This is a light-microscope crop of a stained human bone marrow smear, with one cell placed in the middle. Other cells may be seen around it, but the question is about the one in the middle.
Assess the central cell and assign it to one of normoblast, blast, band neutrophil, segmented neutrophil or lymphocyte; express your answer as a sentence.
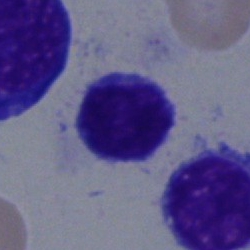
In the crop, the cell of interest at the centre is a lymphocyte.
